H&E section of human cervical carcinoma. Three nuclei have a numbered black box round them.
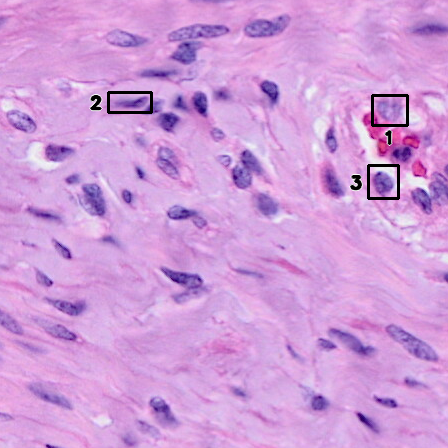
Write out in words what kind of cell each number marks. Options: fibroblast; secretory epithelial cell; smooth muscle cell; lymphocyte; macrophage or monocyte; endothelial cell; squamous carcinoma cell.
Cells 1 and 3 are endothelial cells. Cell 2 is a fibroblast.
